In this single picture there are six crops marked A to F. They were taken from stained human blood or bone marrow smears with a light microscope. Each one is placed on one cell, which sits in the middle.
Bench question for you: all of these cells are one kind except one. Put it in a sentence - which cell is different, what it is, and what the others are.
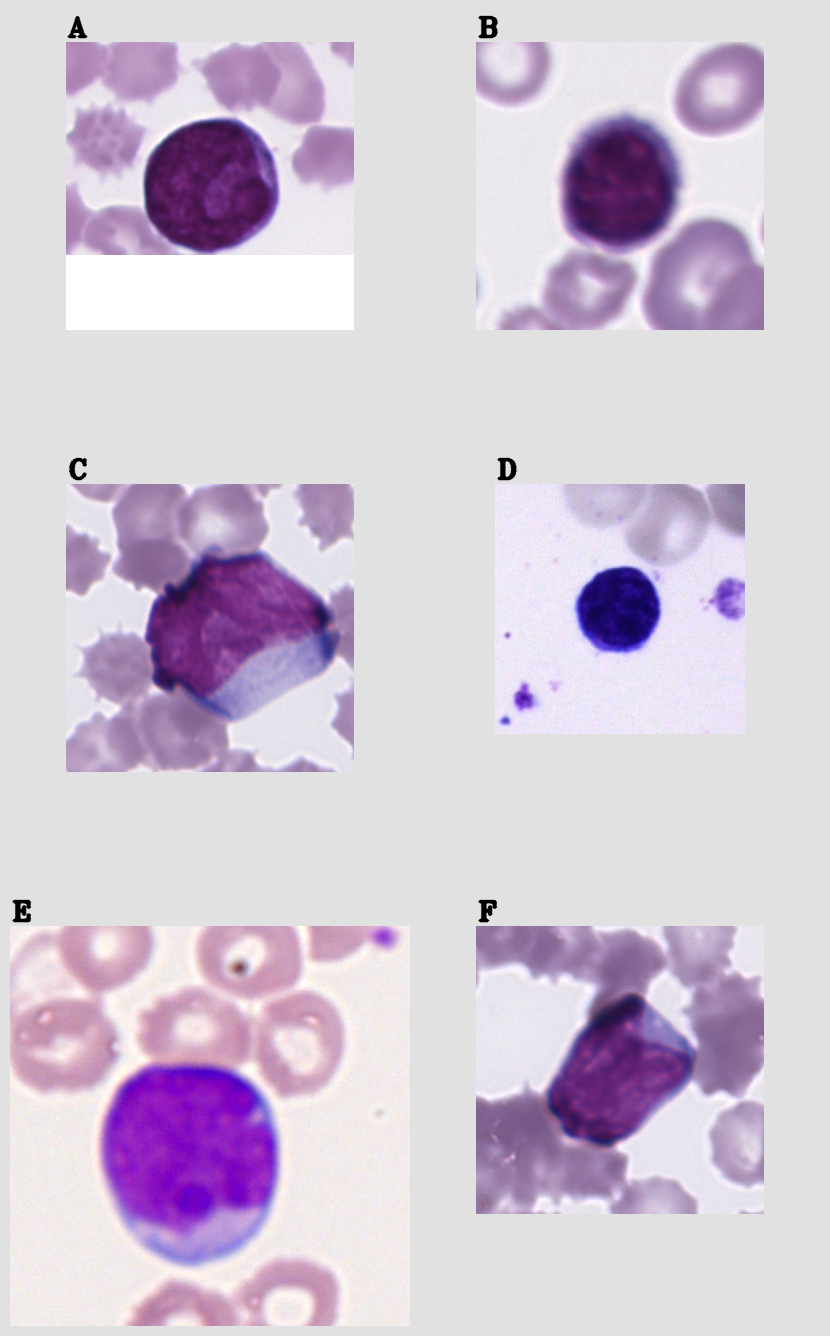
Crop D is the sole crop with a lymphocyte; the others all have blasts.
